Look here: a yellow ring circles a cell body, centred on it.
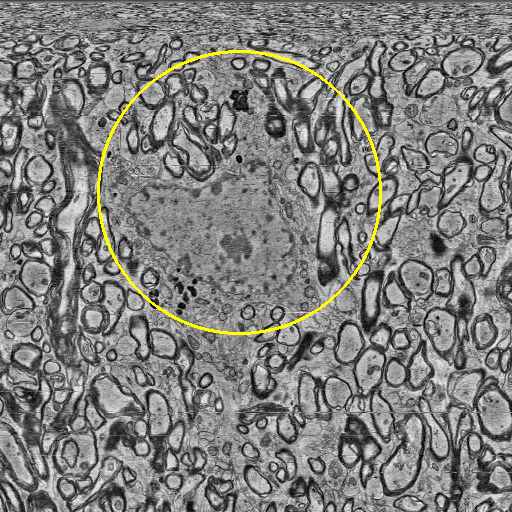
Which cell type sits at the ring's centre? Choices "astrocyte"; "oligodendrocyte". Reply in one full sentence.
The cell at the centre of the yellow ring in the picture is an astrocyte.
